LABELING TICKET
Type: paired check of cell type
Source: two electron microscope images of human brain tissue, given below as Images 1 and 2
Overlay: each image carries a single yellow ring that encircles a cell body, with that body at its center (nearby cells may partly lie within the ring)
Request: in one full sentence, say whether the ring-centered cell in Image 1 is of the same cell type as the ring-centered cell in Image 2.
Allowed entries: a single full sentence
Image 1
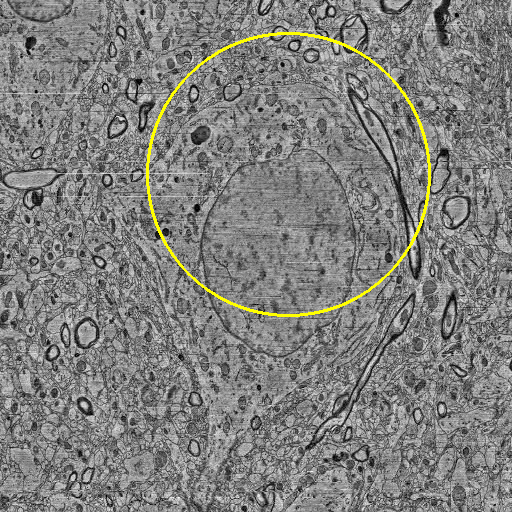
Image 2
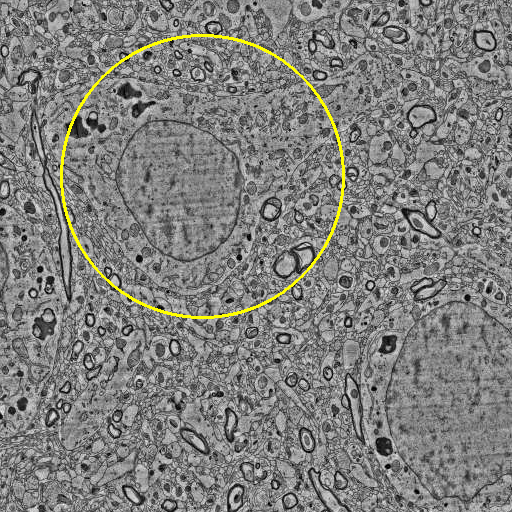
Yes, the cells centered in the rings of Image 1 and Image 2 share one type.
